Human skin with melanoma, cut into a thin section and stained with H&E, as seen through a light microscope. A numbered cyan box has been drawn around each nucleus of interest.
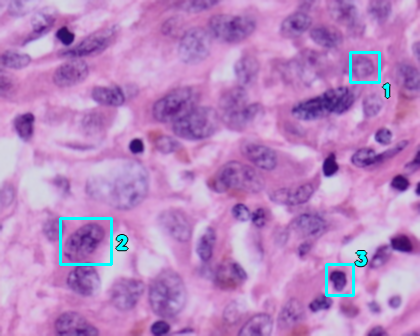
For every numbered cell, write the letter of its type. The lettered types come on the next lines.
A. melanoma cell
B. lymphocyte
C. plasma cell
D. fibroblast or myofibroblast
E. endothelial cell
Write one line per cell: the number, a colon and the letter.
1: A
2: A
3: B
